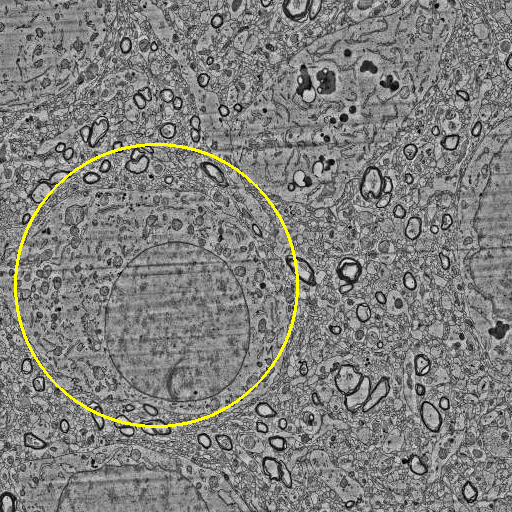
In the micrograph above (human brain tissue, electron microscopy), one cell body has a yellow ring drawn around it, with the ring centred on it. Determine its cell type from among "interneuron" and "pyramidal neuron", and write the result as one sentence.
The cell whose body is ringed is an interneuron.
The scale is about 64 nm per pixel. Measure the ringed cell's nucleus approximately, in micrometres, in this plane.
In this plane the nucleus measures roughly 10 micrometres across.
